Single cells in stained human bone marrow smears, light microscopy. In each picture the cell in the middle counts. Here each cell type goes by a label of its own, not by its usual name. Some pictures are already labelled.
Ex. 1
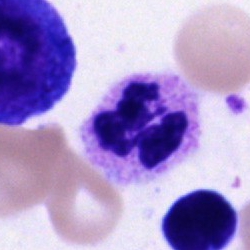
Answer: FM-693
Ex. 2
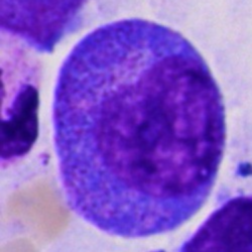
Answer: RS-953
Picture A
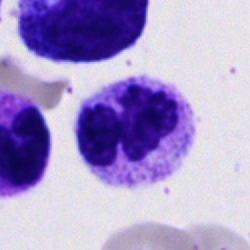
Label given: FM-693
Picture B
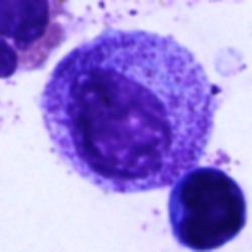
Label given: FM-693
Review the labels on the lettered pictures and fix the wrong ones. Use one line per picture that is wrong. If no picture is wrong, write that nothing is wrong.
Wrong: B (FM-693); correct: RS-953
